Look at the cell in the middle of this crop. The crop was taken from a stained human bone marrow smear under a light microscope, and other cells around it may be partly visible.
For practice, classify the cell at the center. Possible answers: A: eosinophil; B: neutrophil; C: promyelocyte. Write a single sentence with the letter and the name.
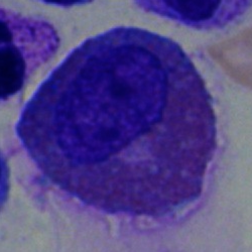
Given that the cell in the middle is an eosinophil, option A is correct.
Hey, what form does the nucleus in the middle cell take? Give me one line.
In this cell the nucleus is a solitary compact mass, round, oval or kidney-shaped.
